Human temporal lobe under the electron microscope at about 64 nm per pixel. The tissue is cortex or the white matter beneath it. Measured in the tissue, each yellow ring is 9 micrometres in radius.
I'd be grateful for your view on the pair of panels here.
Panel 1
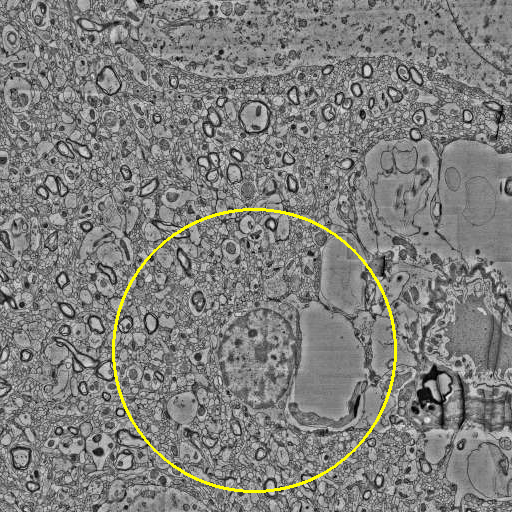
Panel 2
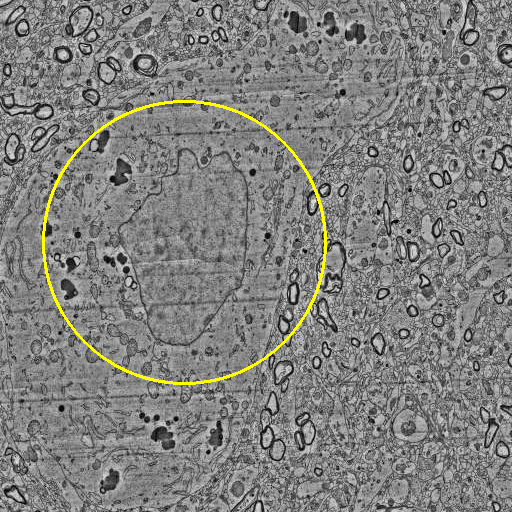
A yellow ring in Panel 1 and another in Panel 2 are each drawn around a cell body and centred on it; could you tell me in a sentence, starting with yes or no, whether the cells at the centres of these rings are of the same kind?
No, they are two kinds of cell.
